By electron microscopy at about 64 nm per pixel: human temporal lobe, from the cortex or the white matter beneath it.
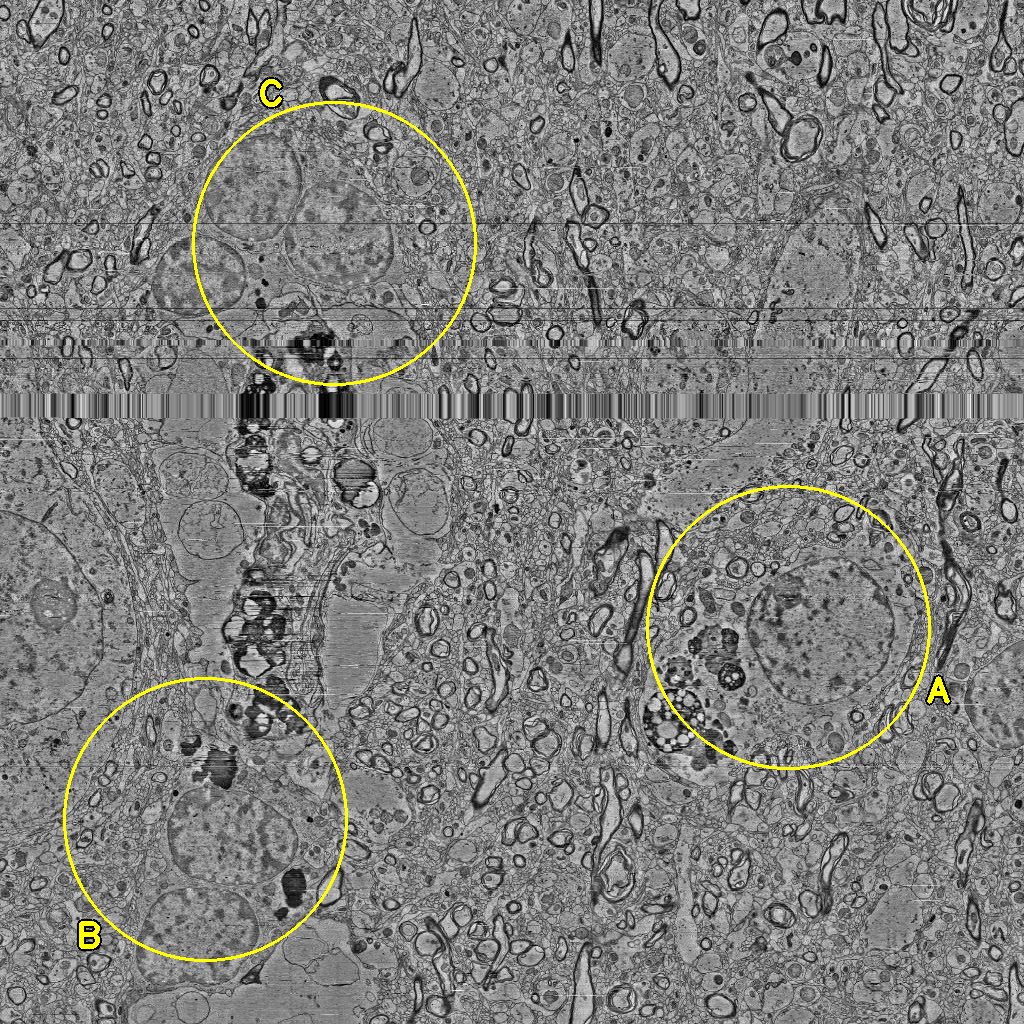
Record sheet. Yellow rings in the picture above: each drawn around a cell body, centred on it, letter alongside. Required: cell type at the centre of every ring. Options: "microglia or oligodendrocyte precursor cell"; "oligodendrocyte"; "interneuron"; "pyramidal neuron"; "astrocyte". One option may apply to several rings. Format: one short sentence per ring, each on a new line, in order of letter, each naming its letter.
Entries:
Ring A contains an astrocyte at the centre.
Ring B contains an oligodendrocyte at the centre.
Ring C contains an oligodendrocyte at the centre.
